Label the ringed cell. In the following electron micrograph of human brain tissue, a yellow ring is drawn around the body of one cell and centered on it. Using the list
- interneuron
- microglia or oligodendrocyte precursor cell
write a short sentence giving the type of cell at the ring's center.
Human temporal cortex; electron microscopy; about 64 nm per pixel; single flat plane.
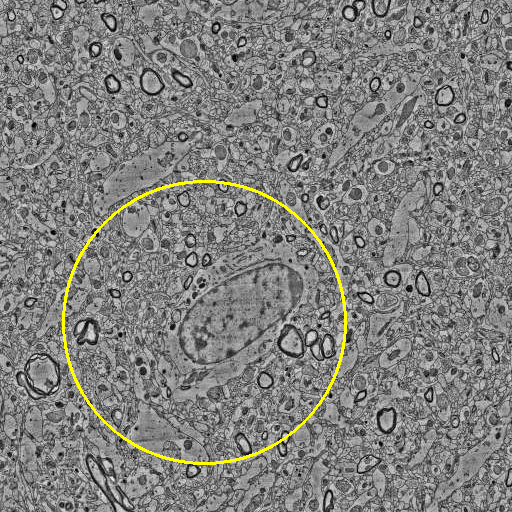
The cell body at the ring's center is that of a microglial cell or oligodendrocyte precursor cell.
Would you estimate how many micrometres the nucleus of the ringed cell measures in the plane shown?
In this plane the nucleus is roughly 9 by 4 micrometres, clearly longer than it is wide.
